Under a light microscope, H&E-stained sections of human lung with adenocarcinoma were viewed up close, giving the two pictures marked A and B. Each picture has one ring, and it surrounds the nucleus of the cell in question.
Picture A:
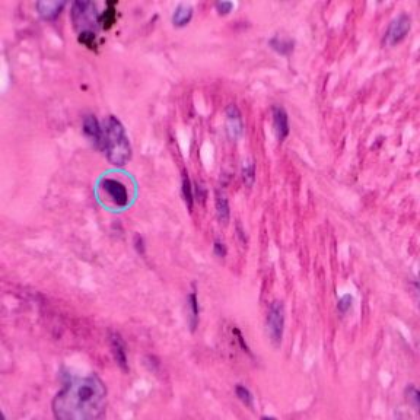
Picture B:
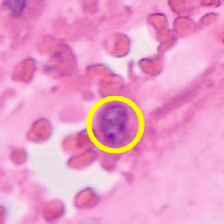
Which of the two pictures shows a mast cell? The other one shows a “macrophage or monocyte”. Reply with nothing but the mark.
A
